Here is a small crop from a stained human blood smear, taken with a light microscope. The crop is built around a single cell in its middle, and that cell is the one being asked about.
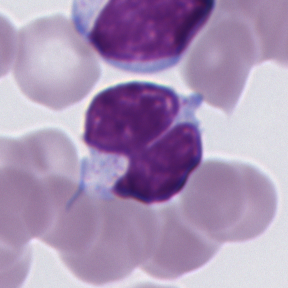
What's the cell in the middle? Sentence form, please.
Within this crop, a large granular lymphocyte occupies the central position.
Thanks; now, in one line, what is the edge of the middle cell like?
Projections or ragged segments give this cell an irregular rather than smooth border.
